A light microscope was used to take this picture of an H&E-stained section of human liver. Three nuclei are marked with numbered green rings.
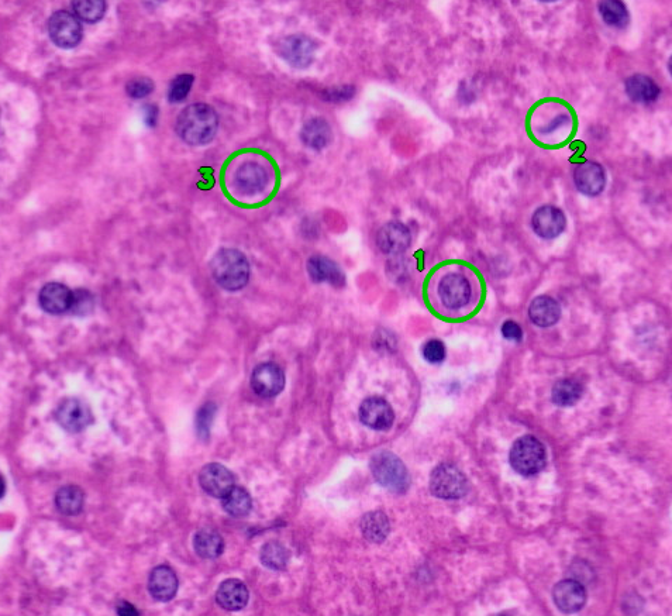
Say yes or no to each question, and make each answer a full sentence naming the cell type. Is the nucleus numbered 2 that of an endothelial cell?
Yes, the cell with the number 2 is an endothelial cell.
